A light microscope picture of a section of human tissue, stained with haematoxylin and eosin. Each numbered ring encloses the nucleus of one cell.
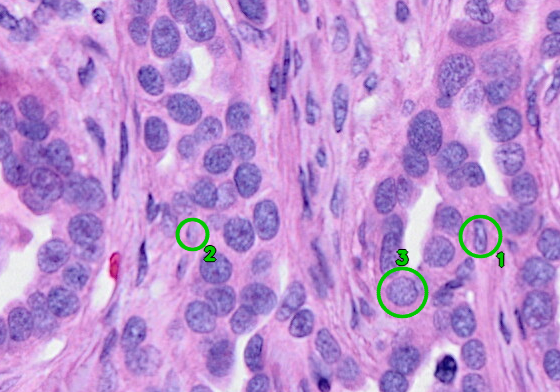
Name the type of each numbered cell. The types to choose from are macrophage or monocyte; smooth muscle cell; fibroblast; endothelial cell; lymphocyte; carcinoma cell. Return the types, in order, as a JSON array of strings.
["fibroblast", "fibroblast", "carcinoma cell"]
